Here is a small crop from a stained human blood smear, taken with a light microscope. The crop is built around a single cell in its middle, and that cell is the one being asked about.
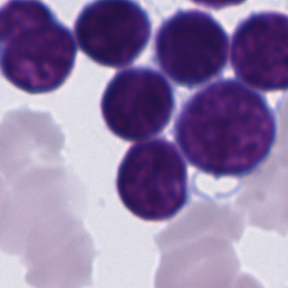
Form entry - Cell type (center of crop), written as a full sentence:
By classification, the middle cell of this crop is a myeloblast.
